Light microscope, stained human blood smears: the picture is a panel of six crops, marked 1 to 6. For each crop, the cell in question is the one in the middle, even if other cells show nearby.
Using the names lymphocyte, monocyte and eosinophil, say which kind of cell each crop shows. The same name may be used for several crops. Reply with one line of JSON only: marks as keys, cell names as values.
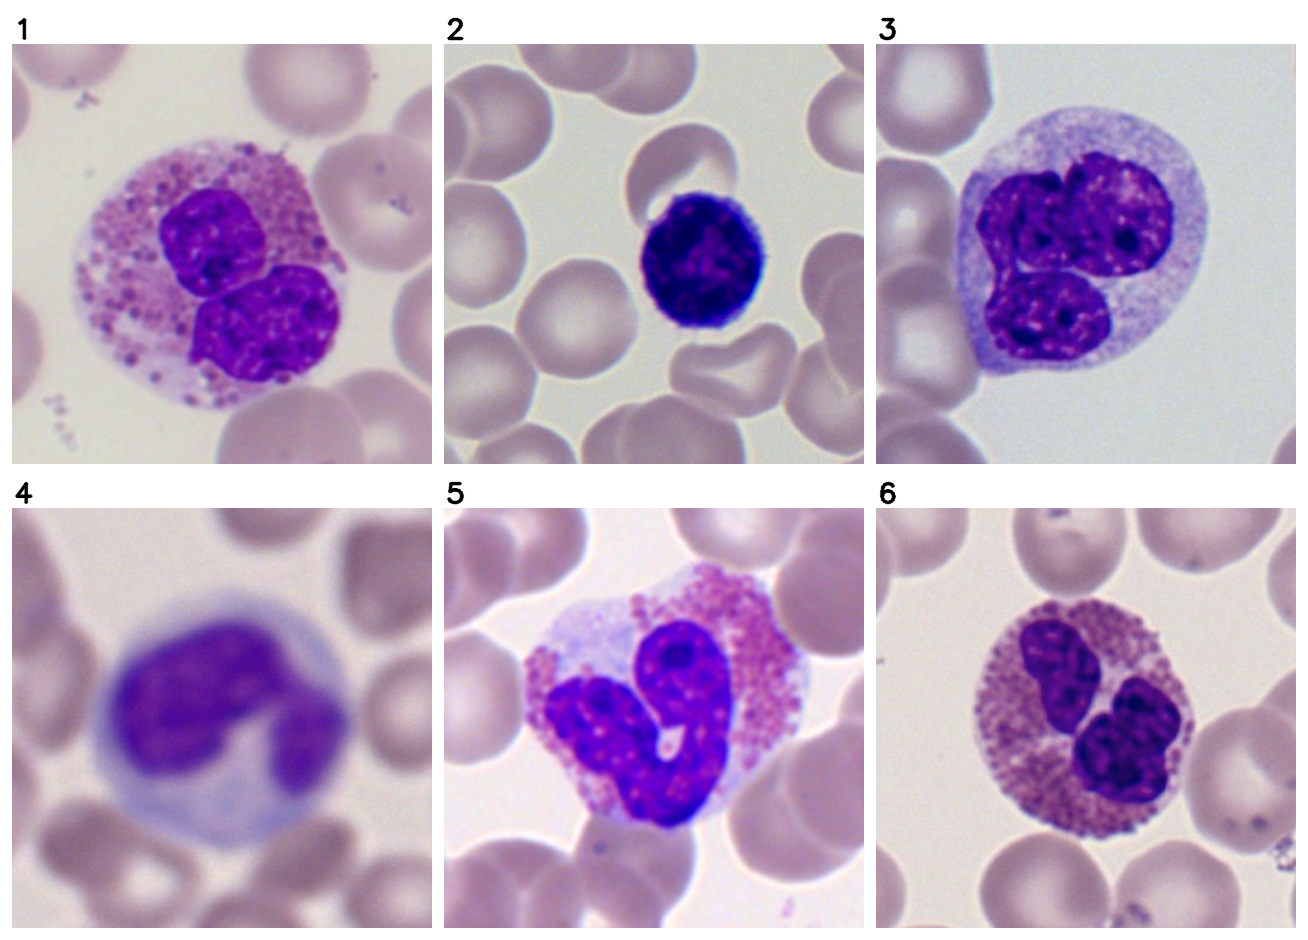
{"1": "eosinophil", "2": "lymphocyte", "3": "monocyte", "4": "monocyte", "5": "eosinophil", "6": "eosinophil"}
